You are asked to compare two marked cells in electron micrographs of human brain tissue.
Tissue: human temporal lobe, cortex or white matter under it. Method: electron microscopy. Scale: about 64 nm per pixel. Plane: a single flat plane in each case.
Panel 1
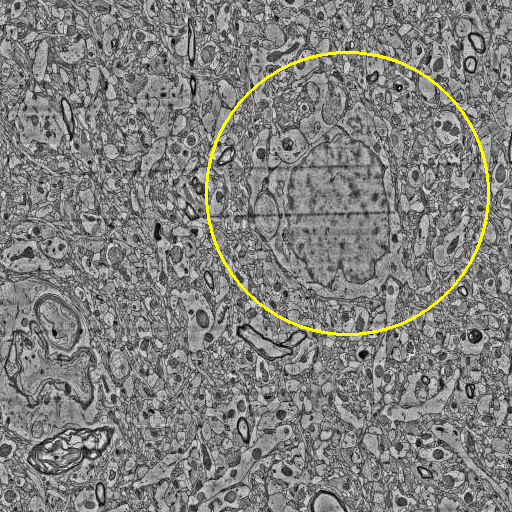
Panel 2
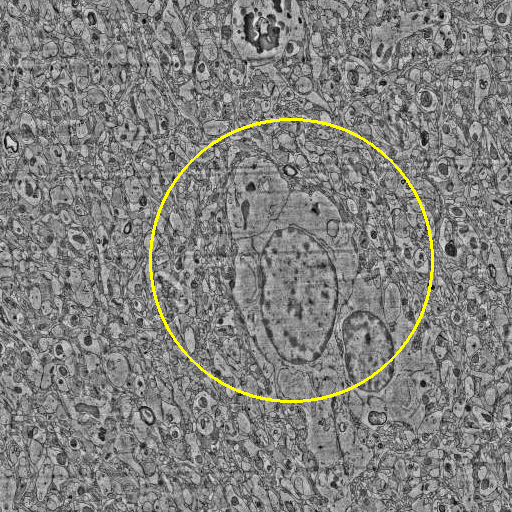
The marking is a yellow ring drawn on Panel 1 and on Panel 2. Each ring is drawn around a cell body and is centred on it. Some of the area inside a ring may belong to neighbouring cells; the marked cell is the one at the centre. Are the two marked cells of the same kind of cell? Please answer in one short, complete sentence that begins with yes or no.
No, the two marked cells are of two kinds.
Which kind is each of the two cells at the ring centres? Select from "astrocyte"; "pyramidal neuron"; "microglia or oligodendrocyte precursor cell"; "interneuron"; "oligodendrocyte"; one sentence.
The cell at the centre of the ring is an interneuron in the first picture and an astrocyte in the second.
